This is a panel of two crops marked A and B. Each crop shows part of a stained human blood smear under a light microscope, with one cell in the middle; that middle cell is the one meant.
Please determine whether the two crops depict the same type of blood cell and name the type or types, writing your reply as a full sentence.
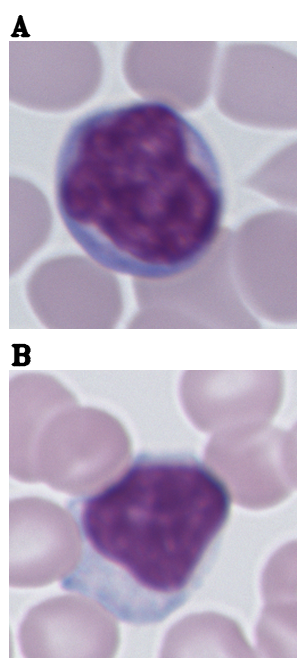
Yes, both crops show a cell each, and these are typical lymphocytes.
